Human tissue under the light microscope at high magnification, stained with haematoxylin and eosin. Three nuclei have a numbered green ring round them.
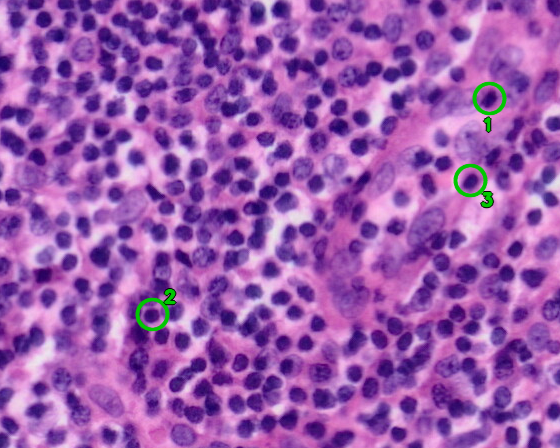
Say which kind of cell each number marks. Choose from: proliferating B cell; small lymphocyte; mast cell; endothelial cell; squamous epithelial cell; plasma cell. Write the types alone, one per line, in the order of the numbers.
endothelial cell
small lymphocyte
endothelial cell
